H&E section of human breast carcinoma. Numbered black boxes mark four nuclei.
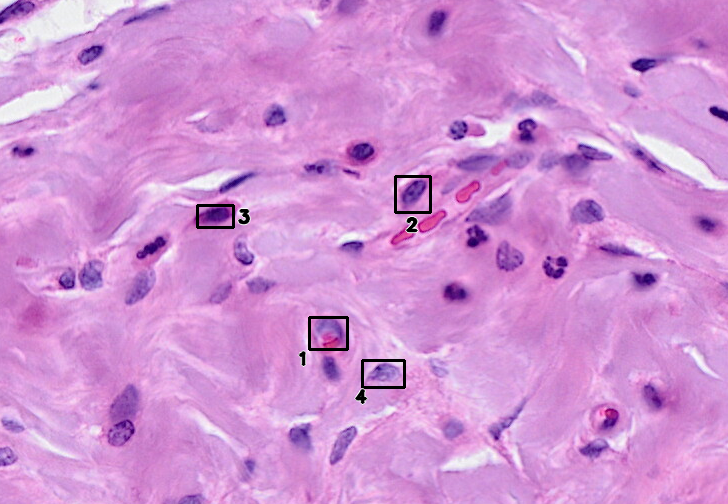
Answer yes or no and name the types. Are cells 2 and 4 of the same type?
No, cell 2 counts as a mast cell, and cell 4 counts as a fibroblast.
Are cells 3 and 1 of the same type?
No, unlike cell 3, which is a mast cell, cell 1 is an endothelial cell.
